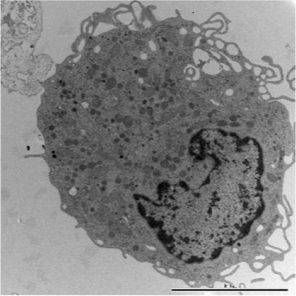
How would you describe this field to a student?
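A single large macrophage fills most of the field. Its nucleus is irregular and deeply indented, with dense chromatin lining the nuclear envelope and paler chromatin inside. The abundant cytoplasm is moderately dense and packed with many small round dense granules and vesicles, with a few clear vacuoles. No large engulfed bodies are seen within the cytoplasm.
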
